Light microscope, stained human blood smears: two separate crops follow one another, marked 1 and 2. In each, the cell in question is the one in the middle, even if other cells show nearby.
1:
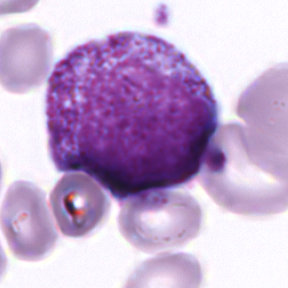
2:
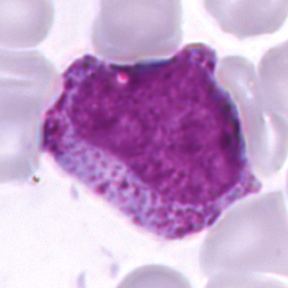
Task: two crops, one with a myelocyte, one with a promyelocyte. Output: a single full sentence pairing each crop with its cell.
There is a myelocyte in crop 1 and a promyelocyte in crop 2.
